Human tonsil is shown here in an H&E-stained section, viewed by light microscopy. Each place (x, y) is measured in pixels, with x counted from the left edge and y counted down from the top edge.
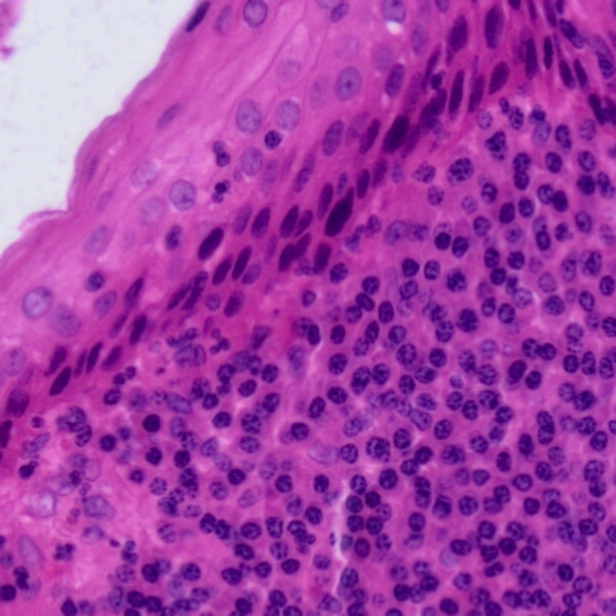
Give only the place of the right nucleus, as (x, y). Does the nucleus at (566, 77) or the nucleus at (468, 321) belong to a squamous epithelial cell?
(566, 77)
